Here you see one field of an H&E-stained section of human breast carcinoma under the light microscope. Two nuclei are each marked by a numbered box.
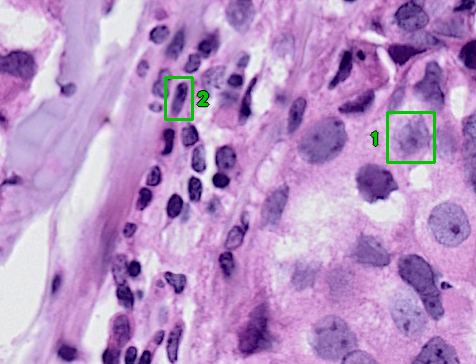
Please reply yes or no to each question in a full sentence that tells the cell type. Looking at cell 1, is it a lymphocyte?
No, calling cell 1 a lymphocyte is a mistake; it is a carcinoma cell.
